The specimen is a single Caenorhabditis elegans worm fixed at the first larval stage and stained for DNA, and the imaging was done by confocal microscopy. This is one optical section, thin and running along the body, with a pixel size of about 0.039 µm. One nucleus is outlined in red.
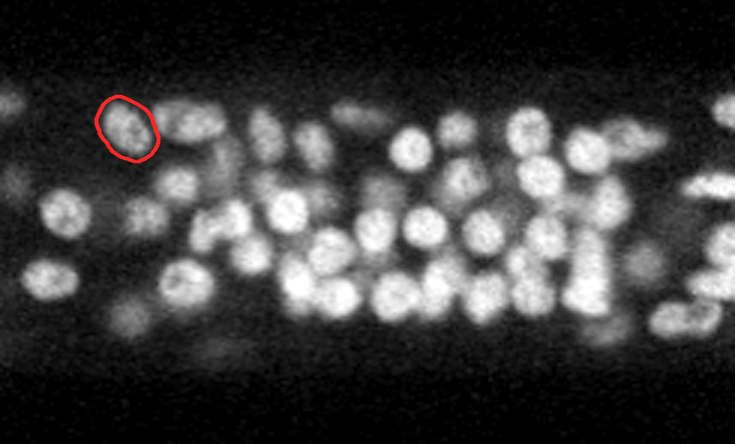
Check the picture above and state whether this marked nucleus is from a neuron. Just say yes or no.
no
